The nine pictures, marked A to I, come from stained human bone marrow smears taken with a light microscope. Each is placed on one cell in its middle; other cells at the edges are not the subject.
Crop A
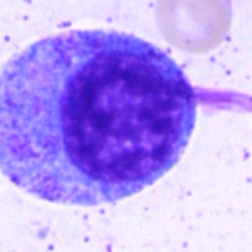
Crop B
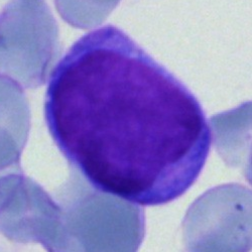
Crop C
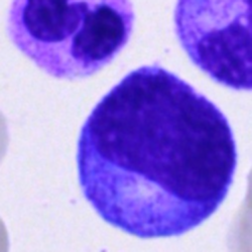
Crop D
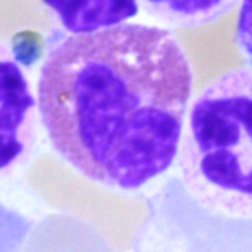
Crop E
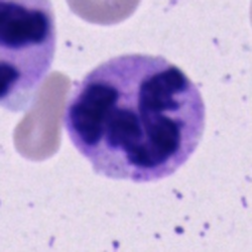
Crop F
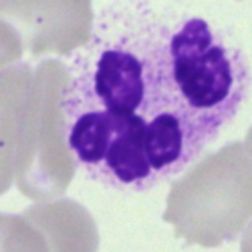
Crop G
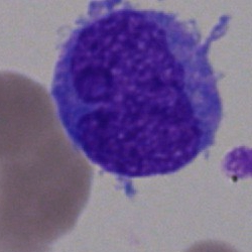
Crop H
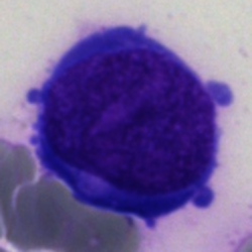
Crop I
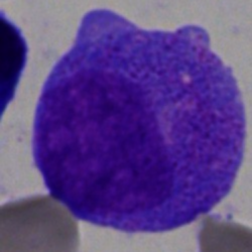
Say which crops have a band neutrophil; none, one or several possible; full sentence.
No single crop in the group depicts a band neutrophil.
